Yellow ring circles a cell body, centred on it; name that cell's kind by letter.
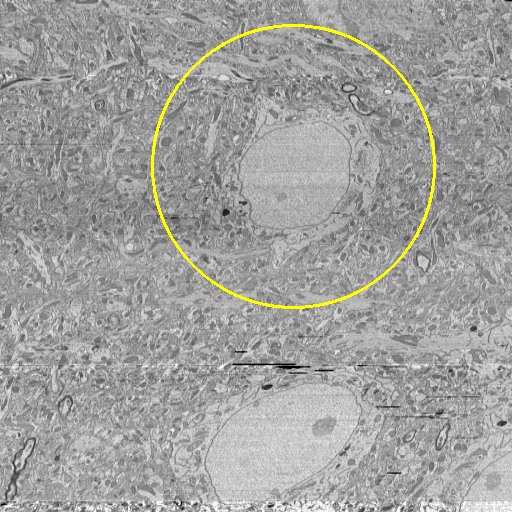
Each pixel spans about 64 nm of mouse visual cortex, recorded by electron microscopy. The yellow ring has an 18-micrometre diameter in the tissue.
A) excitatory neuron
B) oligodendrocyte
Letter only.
A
